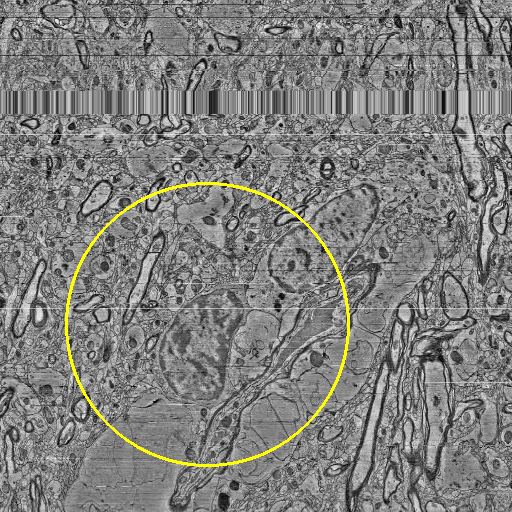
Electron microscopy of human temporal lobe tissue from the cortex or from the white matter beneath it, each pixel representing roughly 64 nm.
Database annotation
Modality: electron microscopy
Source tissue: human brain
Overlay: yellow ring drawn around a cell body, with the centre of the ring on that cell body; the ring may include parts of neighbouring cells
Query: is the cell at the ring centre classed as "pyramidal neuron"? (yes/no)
no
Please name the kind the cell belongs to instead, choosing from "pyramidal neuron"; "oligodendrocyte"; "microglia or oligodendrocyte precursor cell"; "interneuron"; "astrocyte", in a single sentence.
Instead, the ring in this picture marks an oligodendrocyte.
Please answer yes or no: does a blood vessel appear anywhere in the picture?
Yes, a vessel shows somewhere in the image.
